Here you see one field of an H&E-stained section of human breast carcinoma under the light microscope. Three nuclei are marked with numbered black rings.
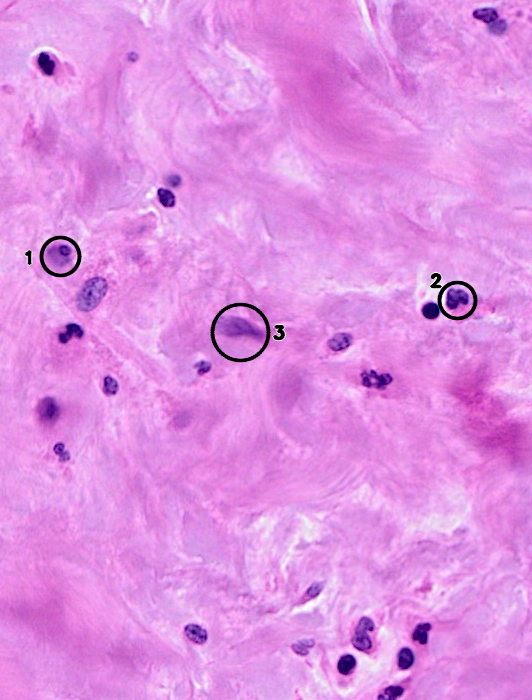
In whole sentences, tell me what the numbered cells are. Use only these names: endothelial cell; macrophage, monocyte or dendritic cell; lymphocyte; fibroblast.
Cell 1 is a macrophage, monocyte or dendritic cell. Cell 2 is a lymphocyte. Cell 3 is a fibroblast.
